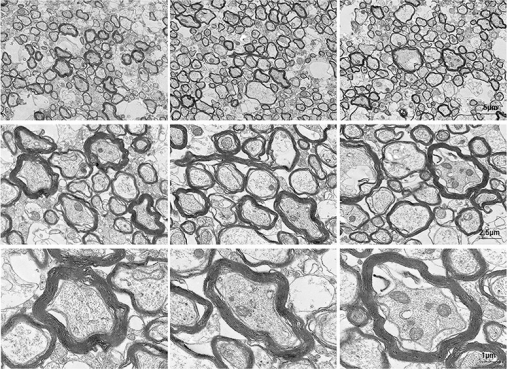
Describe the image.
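This transmission electron micrograph of white matter shows densely packed axons cut in cross-section. Most of them are surrounded by dark, electron-dense myelin sheaths. At low magnification the myelinated profiles form a crowded field of dark rings of varying diameter. At higher magnification the sheaths are seen as compact, multilayered spirals of membrane wrapped around pale axoplasm that holds small organelles, including mitochondria and microtubule-like profiles. The sheaths are fairly thick compared with the diameter of their axons, and small unmyelinated profiles lie between the myelinated ones. At the highest magnification individual sheaths look somewhat irregular in outline but stay compact.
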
